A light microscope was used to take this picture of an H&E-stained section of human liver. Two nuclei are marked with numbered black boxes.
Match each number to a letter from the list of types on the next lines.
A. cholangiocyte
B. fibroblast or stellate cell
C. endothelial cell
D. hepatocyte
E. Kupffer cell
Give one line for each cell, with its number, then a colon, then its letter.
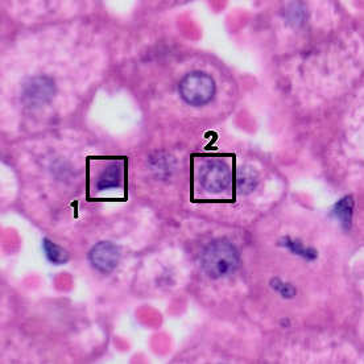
1: B
2: D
